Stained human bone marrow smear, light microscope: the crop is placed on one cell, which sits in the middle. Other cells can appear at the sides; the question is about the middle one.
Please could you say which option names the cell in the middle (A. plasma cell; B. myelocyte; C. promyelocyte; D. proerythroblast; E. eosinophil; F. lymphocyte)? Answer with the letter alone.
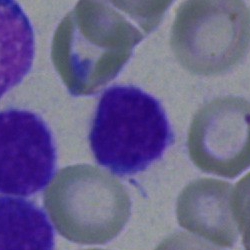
F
